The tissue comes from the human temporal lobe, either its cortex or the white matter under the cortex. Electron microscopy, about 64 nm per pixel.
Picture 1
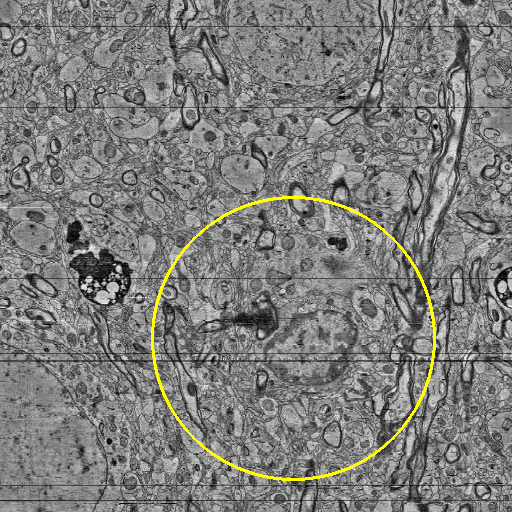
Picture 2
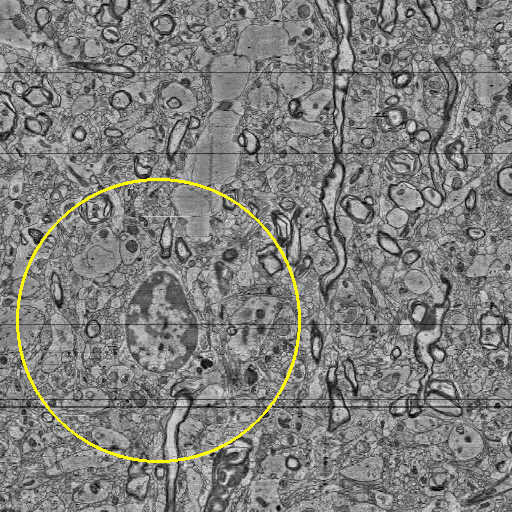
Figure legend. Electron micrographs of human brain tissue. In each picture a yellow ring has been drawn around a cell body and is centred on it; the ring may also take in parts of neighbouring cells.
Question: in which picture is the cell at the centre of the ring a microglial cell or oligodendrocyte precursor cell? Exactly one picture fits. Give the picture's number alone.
2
